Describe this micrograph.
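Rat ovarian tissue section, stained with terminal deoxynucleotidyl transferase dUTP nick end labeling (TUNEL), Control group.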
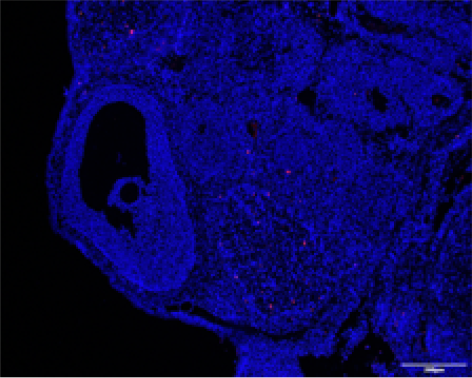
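This is a section of ovary in which a large follicle with an irregular dark cavity lies at the left, lined by a thick layer of densely packed granulosa cells with blue nuclei. The rest of the field is filled with large, solid, rounded masses of blue-nucleated cells and stroma between them. Red label is very sparse, with only a few tiny red dots scattered across the tissue. The granulosa lining of the follicle cavity shows no continuous red rim.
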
